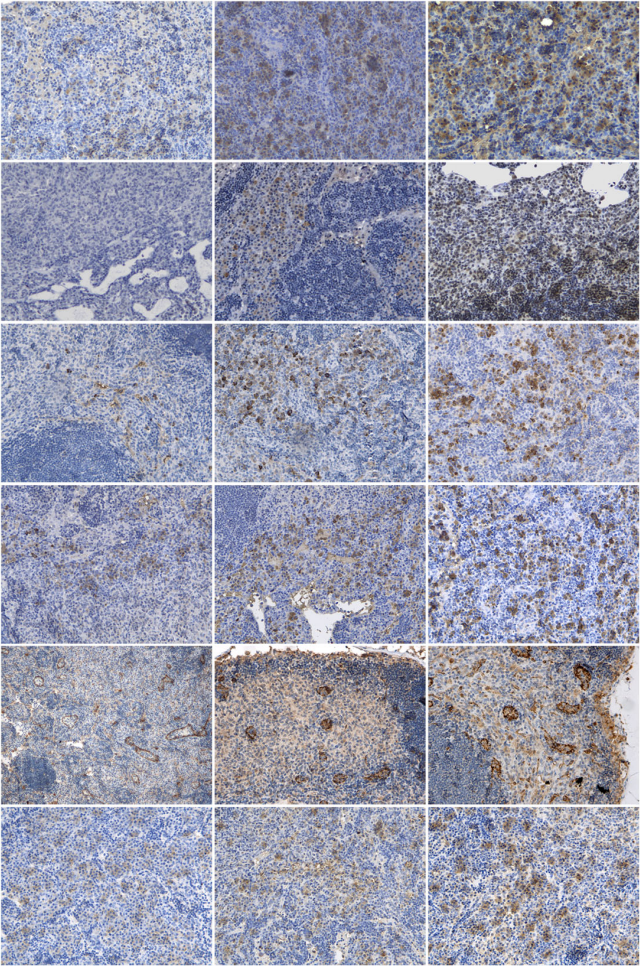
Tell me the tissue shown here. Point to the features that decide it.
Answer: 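Lymph nodes. Sheets of densely packed small round blue-stained nuclei fill much of each section. Some sections contain paler areas of larger cells with brown-stained cytoplasm beside the dense small-cell areas.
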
